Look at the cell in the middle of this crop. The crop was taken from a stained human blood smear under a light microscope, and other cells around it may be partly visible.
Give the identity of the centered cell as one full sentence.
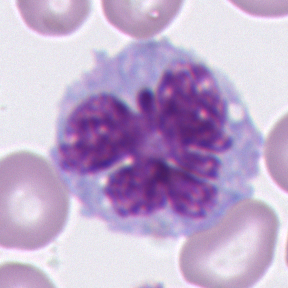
The single cell at the center of the crop is a monocyte.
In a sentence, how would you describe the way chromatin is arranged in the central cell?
Its nuclear chromatin is gathered into coarse clumps.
